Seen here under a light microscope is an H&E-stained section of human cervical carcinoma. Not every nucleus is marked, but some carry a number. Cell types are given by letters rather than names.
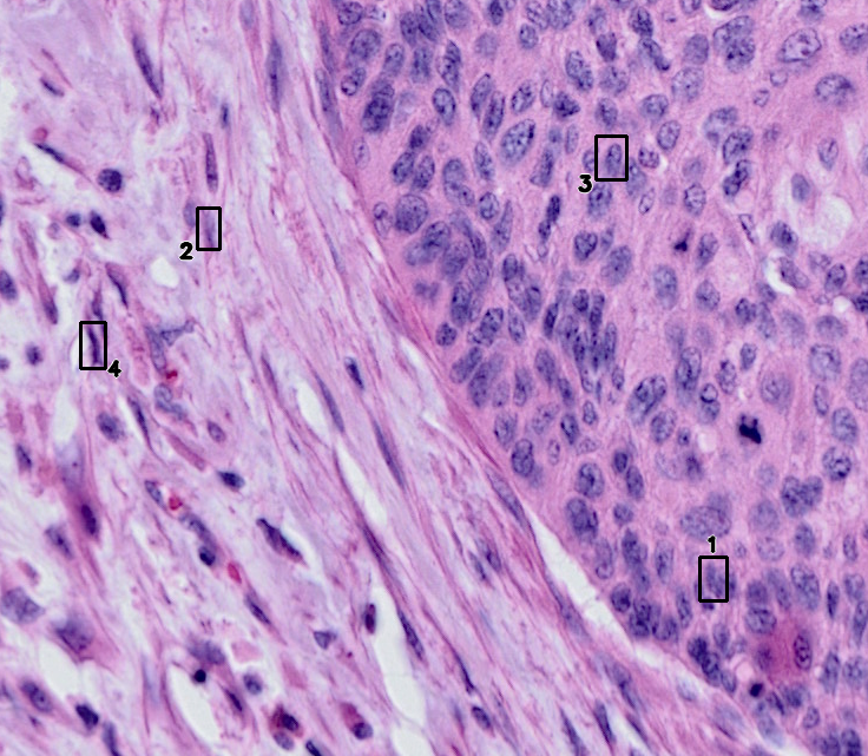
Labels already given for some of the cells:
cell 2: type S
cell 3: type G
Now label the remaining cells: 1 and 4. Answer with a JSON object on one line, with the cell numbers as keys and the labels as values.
{"1": "type G", "4": "type S"}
